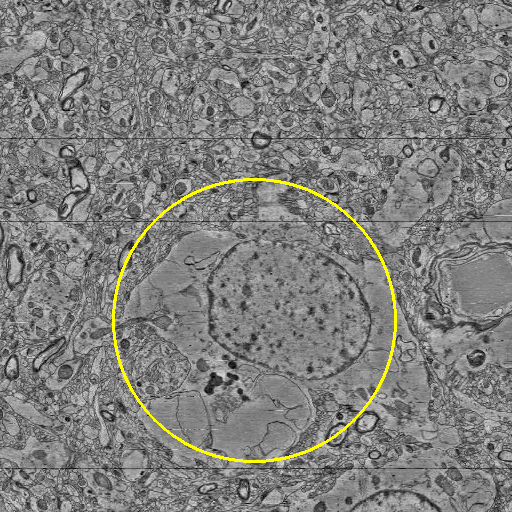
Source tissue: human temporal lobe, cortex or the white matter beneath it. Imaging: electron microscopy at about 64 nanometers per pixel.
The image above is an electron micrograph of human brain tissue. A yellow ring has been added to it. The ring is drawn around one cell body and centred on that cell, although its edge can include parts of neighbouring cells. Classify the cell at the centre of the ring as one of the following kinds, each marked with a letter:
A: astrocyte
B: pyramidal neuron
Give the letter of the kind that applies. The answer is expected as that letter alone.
A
